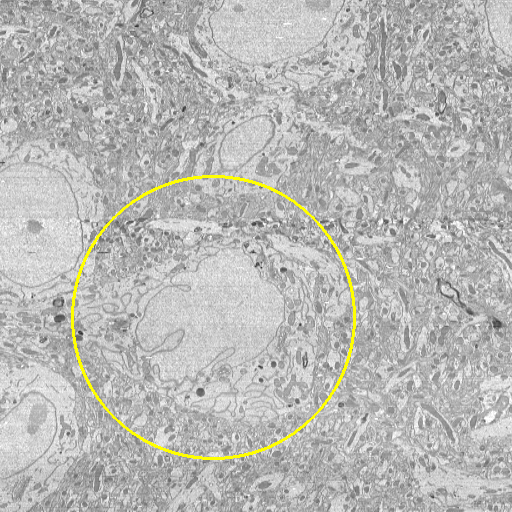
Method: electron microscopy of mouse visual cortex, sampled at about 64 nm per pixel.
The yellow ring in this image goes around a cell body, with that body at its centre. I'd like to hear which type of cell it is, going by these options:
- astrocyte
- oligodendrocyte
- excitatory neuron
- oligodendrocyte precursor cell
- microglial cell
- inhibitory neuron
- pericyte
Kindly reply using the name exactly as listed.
inhibitory neuron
